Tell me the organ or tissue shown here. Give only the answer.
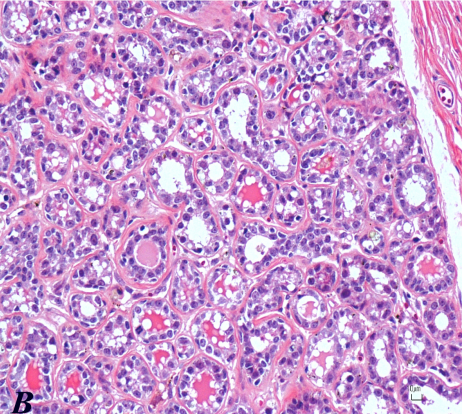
secretory mammary gland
